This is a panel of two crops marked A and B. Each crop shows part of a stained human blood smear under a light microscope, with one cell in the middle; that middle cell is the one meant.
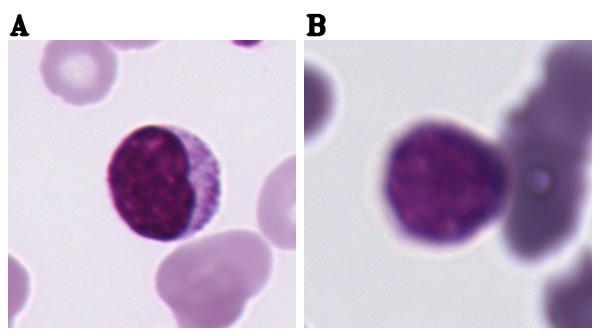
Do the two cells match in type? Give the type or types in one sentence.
No, crop A matches a large granular lymphocyte and crop B matches a myeloblast.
